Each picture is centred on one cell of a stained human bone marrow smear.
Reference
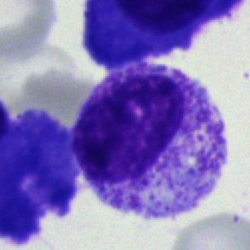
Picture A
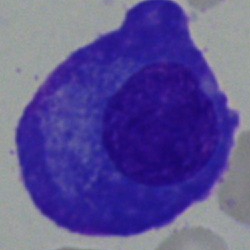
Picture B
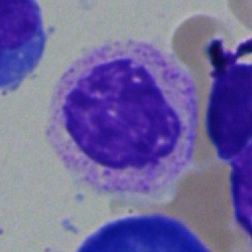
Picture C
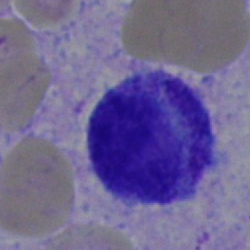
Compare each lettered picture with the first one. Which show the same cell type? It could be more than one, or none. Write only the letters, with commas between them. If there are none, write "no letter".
B, C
